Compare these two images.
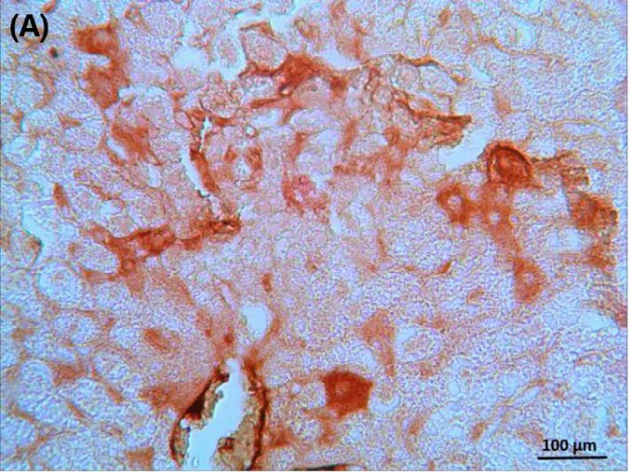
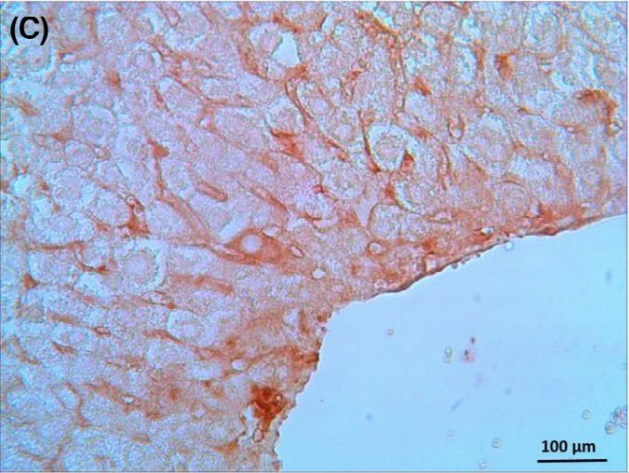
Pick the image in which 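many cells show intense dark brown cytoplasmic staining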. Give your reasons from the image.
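The first image. Second image: the tissue is mostly pale, with only one or two darker brown cells. First image: several cells and cell clusters are stained deep brown.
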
